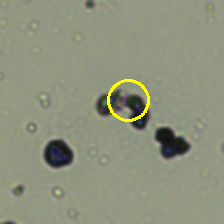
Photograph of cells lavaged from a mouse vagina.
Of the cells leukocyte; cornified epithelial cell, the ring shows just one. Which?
The ring shows a leukocyte.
